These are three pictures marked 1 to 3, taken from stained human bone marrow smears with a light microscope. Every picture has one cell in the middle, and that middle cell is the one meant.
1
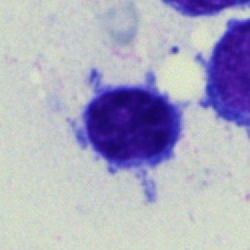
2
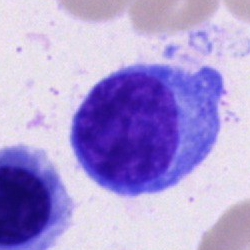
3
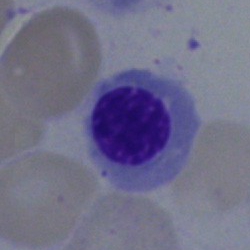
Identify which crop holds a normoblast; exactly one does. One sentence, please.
The crop with a normoblast in it is crop 3.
